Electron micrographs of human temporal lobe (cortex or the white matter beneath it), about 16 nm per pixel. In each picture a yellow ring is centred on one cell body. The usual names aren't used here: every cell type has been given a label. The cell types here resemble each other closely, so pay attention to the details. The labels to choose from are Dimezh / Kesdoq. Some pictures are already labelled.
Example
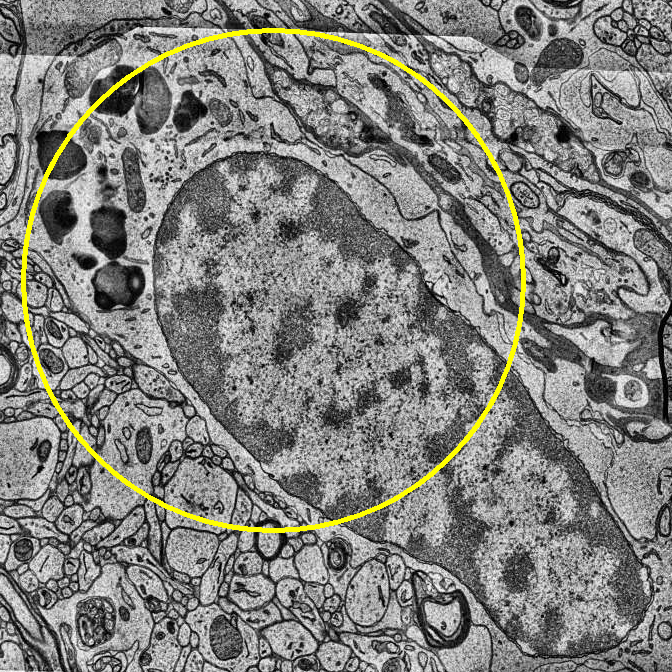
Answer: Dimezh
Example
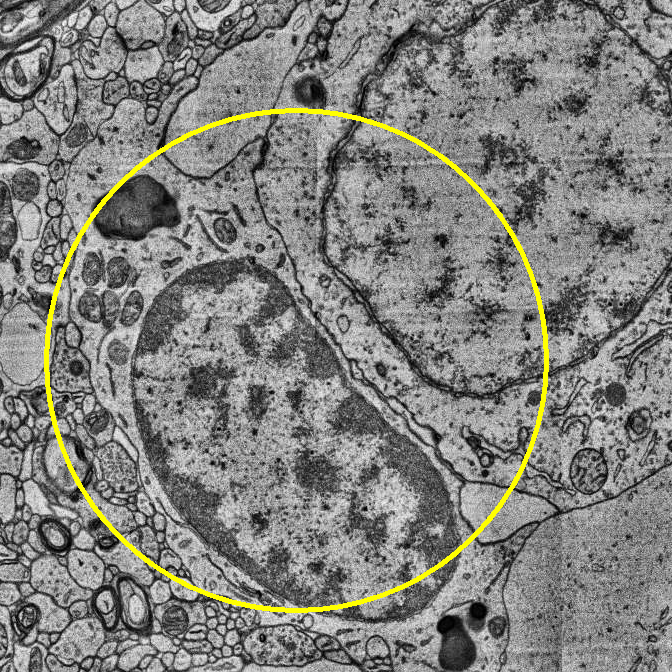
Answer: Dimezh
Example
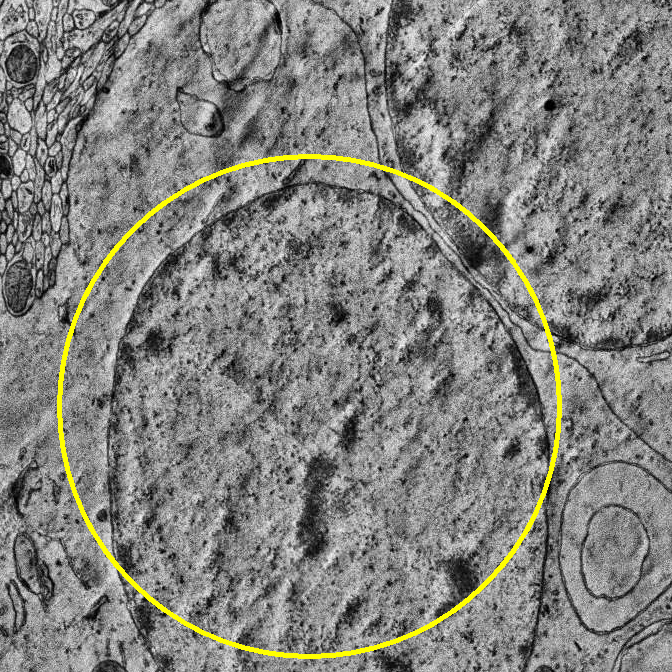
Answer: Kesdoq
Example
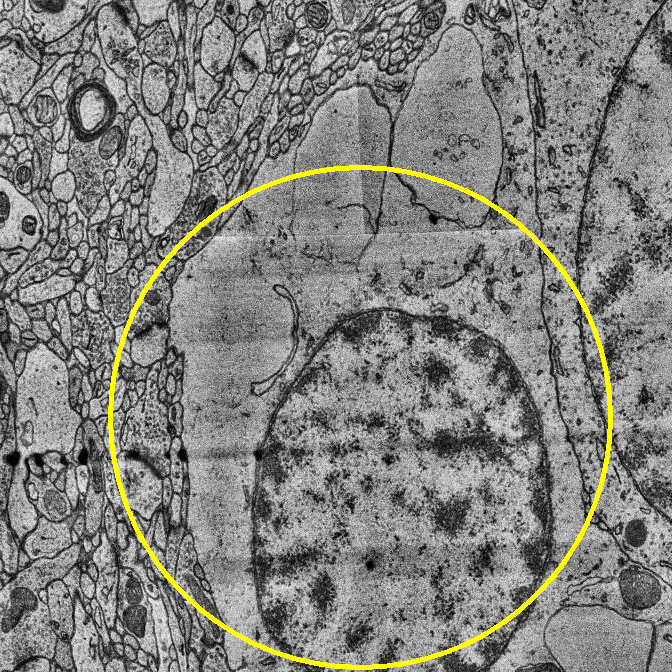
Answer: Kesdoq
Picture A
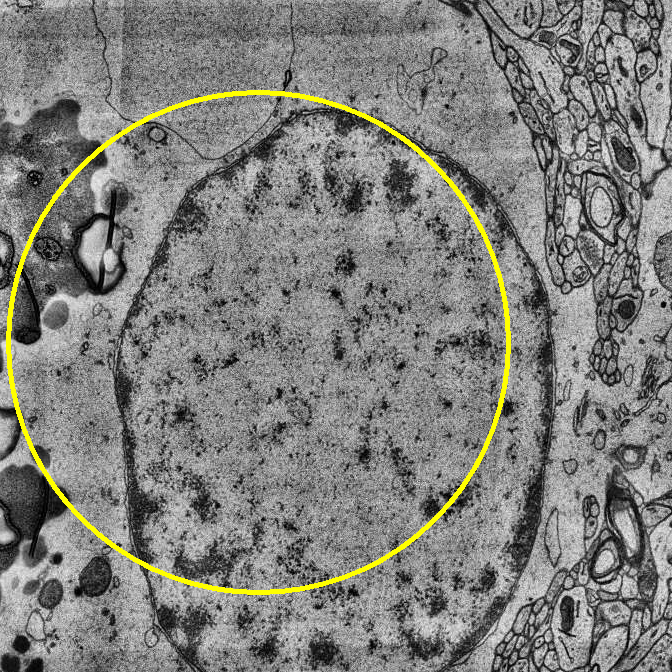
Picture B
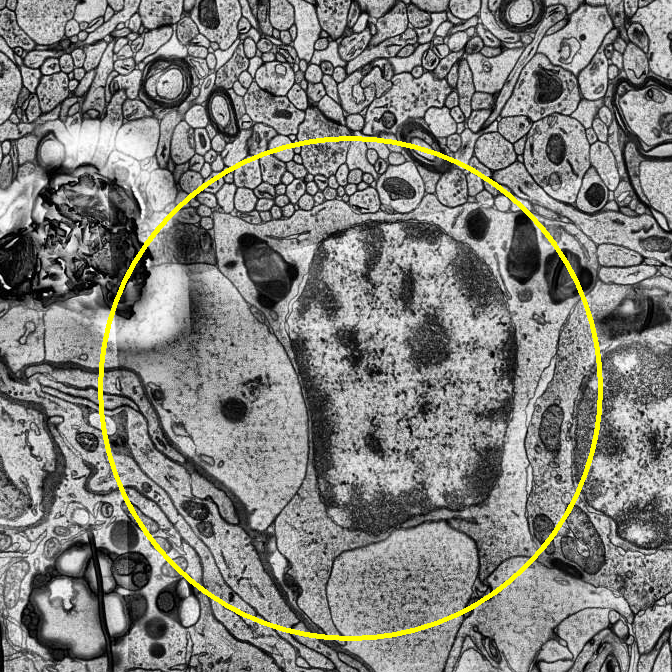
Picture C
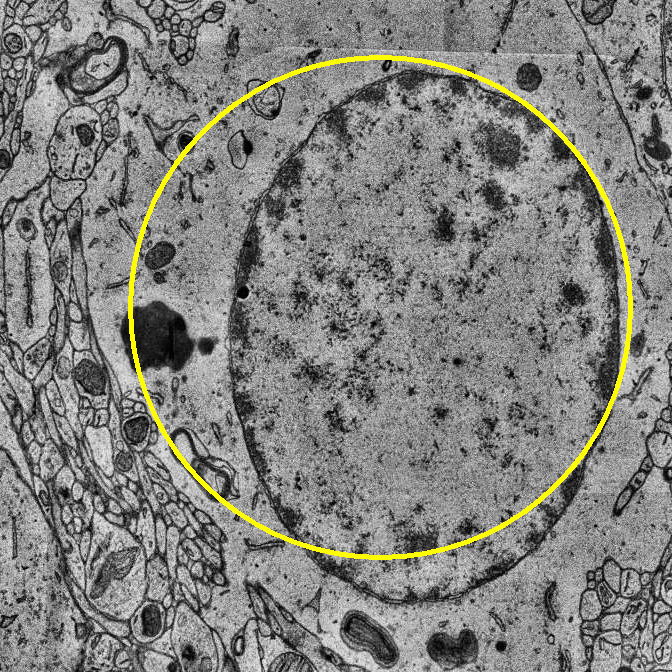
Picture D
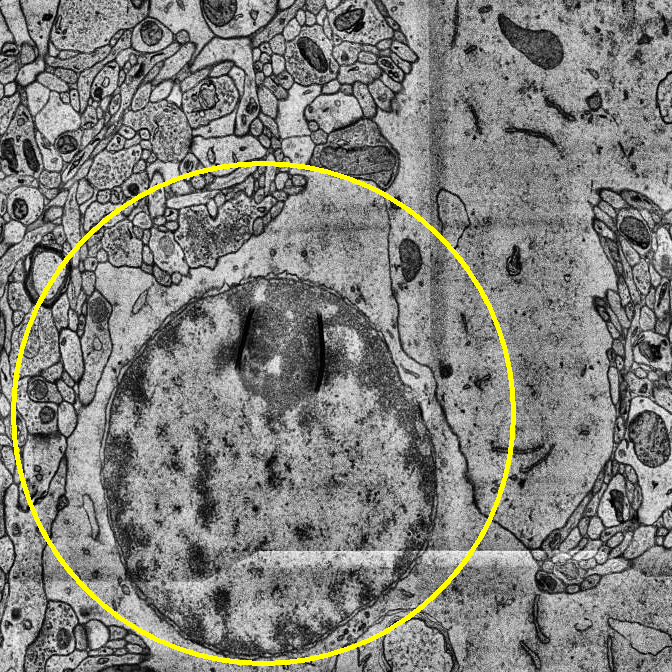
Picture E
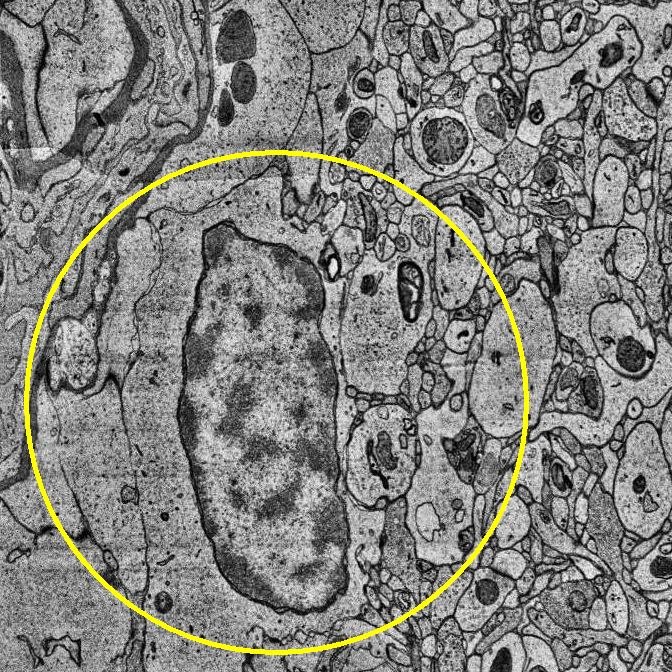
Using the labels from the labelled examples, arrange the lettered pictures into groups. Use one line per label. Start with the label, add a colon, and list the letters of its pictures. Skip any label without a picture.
Dimezh: B, E
Kesdoq: A, C, D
